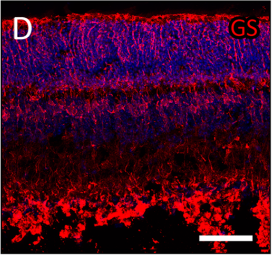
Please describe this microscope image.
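Thin red radial fibres run straight across the whole thickness, threading between the tightly packed nuclei of the thick outer nuclear layer and through the plexiform layers. At the inner surface they broaden into a dense, irregular row of red endfeet.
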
